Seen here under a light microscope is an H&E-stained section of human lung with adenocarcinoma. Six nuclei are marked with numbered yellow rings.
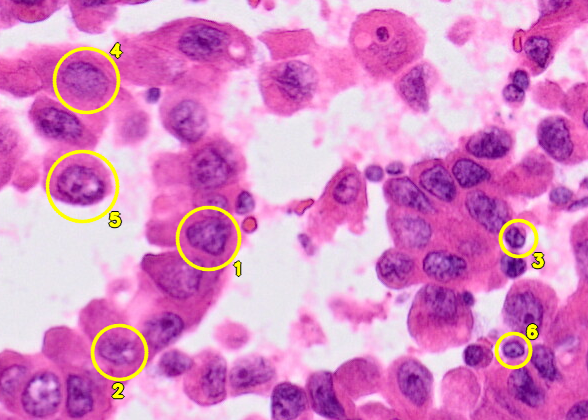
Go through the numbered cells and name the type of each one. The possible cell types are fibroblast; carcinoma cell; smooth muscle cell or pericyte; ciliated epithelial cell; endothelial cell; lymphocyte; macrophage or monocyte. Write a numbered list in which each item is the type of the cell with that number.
1. carcinoma cell
2. carcinoma cell
3. lymphocyte
4. carcinoma cell
5. carcinoma cell
6. lymphocyte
